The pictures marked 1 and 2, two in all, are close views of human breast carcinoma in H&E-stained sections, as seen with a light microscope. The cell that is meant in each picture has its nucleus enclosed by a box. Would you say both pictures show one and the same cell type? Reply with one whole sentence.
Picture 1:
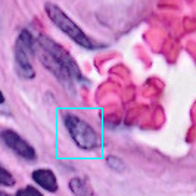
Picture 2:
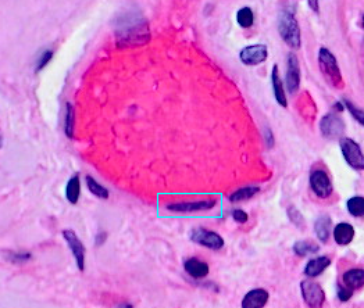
Yes, the two pictures both show endothelial cells.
